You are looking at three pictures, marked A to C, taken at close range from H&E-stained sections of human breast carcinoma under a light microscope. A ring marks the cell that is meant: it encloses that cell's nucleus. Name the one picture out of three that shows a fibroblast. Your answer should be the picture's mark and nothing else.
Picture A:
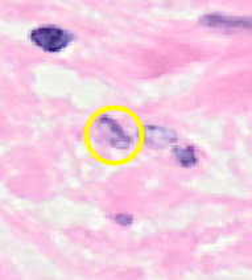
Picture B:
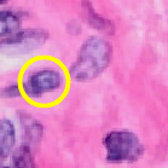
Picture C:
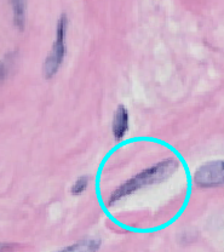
A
